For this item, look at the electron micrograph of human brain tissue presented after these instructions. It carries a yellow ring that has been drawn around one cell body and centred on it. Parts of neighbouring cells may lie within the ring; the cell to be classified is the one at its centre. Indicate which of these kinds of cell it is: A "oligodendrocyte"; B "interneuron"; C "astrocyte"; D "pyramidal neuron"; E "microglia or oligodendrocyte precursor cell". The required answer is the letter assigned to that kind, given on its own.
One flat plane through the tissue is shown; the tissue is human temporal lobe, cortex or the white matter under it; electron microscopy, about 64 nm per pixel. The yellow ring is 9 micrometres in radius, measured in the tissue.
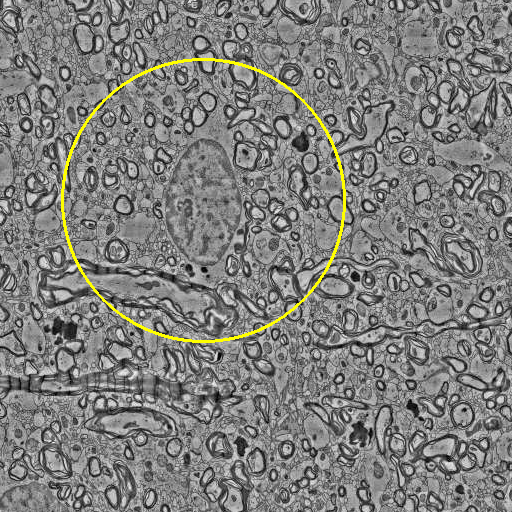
A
